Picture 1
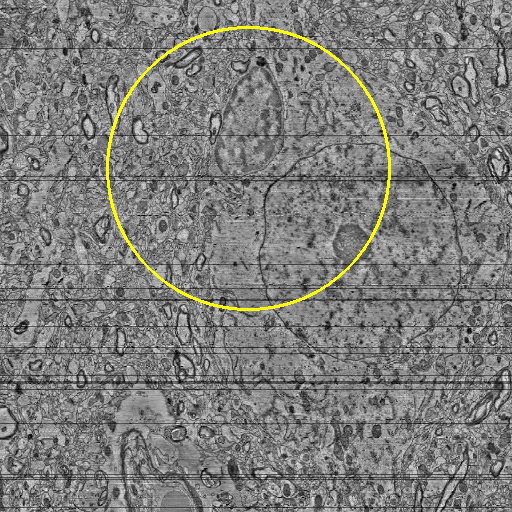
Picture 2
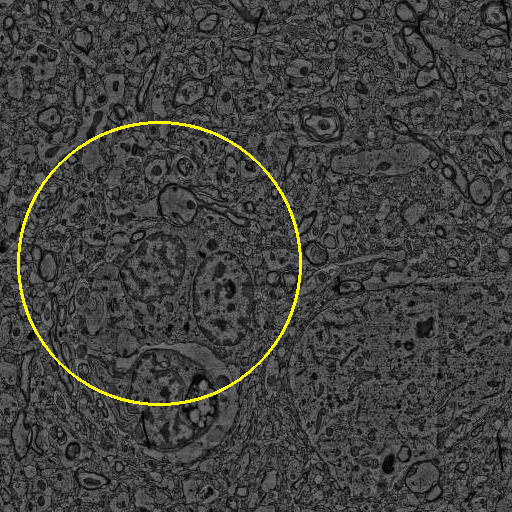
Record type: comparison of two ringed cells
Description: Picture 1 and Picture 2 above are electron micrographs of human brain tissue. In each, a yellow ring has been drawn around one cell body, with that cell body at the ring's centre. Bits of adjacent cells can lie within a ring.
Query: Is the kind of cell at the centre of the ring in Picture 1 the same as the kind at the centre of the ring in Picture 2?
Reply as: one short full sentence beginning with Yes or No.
Yes, the two ringed cells are of the same kind.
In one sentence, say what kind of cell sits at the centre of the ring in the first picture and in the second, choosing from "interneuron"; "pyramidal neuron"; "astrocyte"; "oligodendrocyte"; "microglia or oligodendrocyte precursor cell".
The cell in the first picture is an oligodendrocyte, and so is the one in the second.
